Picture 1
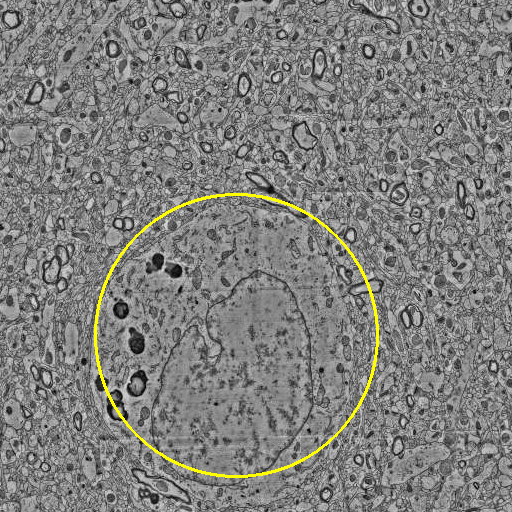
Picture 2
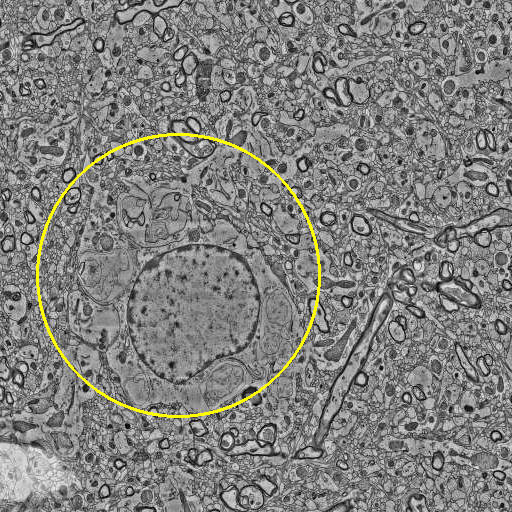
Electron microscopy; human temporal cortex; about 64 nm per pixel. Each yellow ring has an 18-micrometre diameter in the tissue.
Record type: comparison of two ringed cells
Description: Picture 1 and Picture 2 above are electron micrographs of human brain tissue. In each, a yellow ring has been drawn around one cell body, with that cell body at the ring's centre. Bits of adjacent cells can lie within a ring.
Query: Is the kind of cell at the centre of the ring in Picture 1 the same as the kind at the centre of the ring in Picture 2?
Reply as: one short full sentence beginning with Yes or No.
No, the two ringed cells are of two separate kinds.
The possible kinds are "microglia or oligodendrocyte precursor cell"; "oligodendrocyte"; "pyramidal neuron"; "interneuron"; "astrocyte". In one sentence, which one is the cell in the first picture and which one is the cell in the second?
The cell ringed in the second picture is an astrocyte, whereas the one ringed in the first is a pyramidal neuron.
